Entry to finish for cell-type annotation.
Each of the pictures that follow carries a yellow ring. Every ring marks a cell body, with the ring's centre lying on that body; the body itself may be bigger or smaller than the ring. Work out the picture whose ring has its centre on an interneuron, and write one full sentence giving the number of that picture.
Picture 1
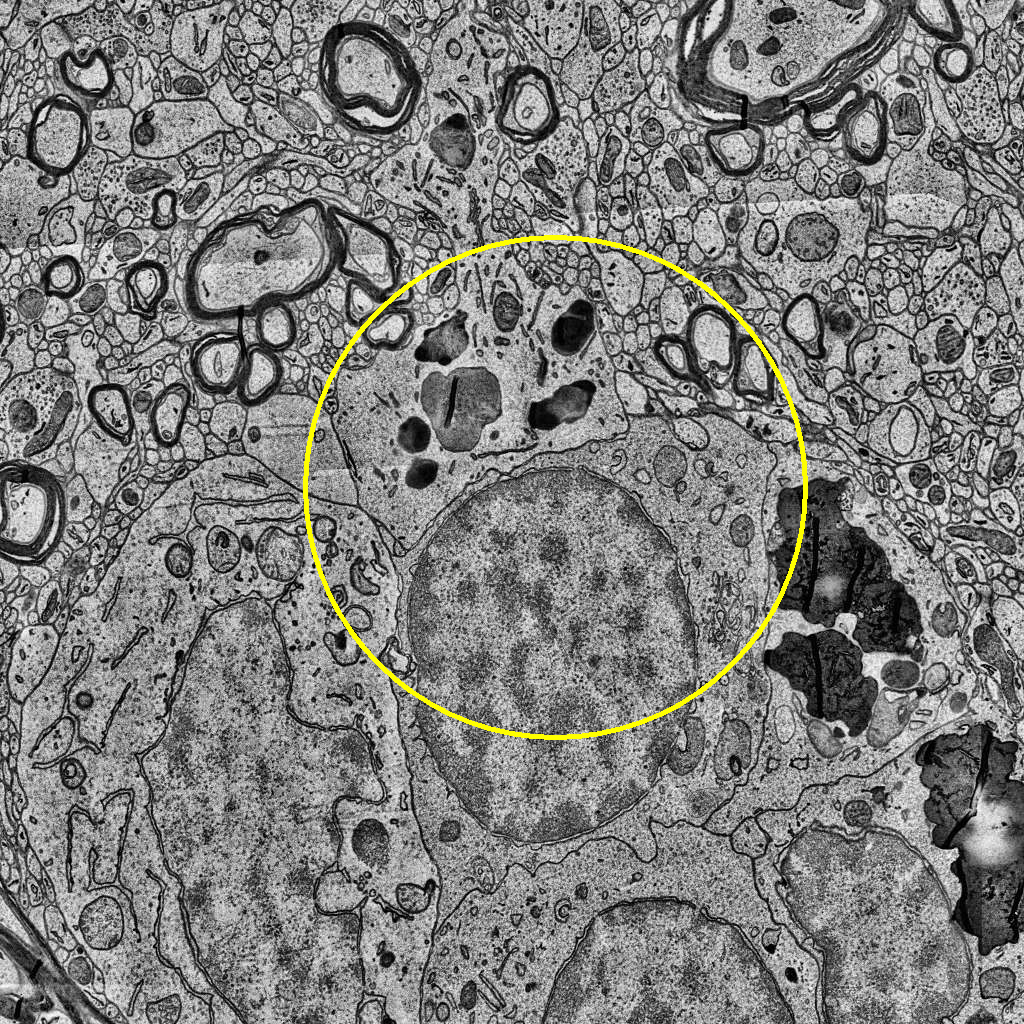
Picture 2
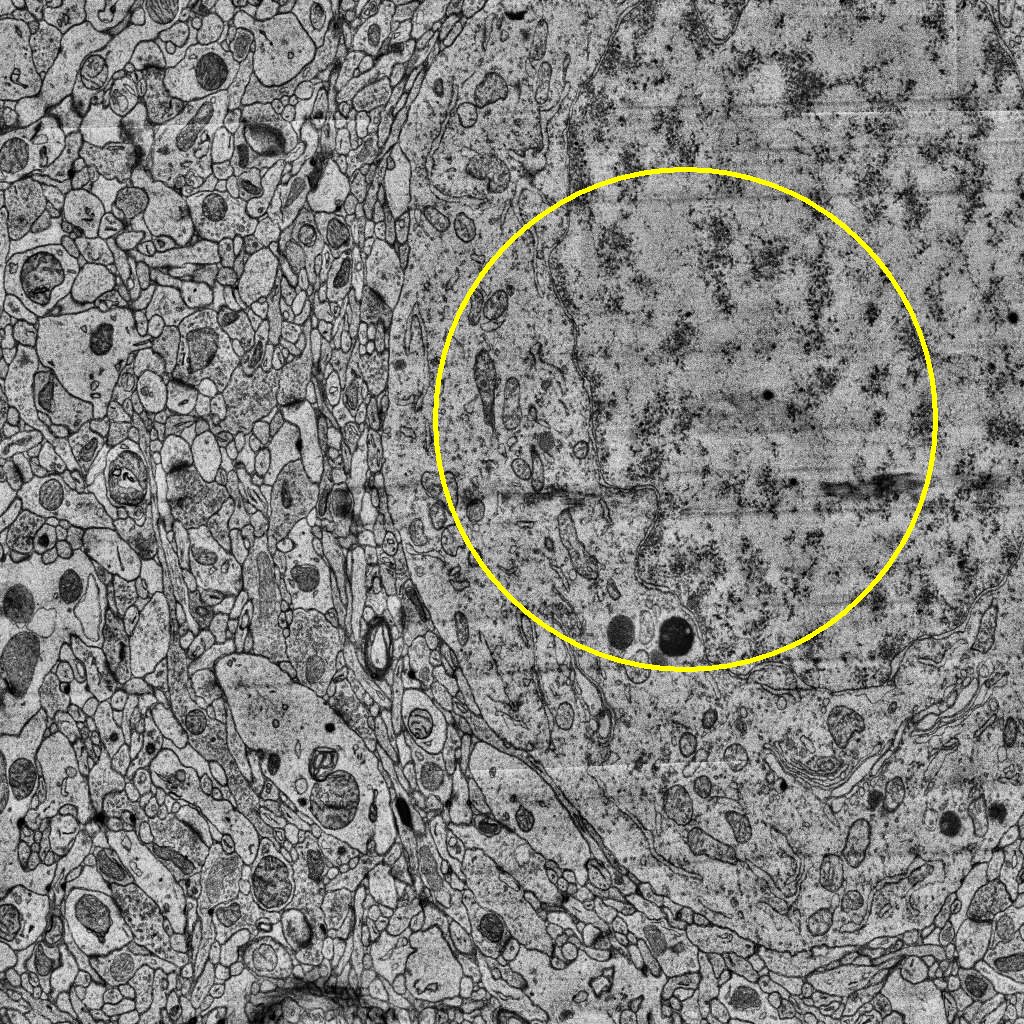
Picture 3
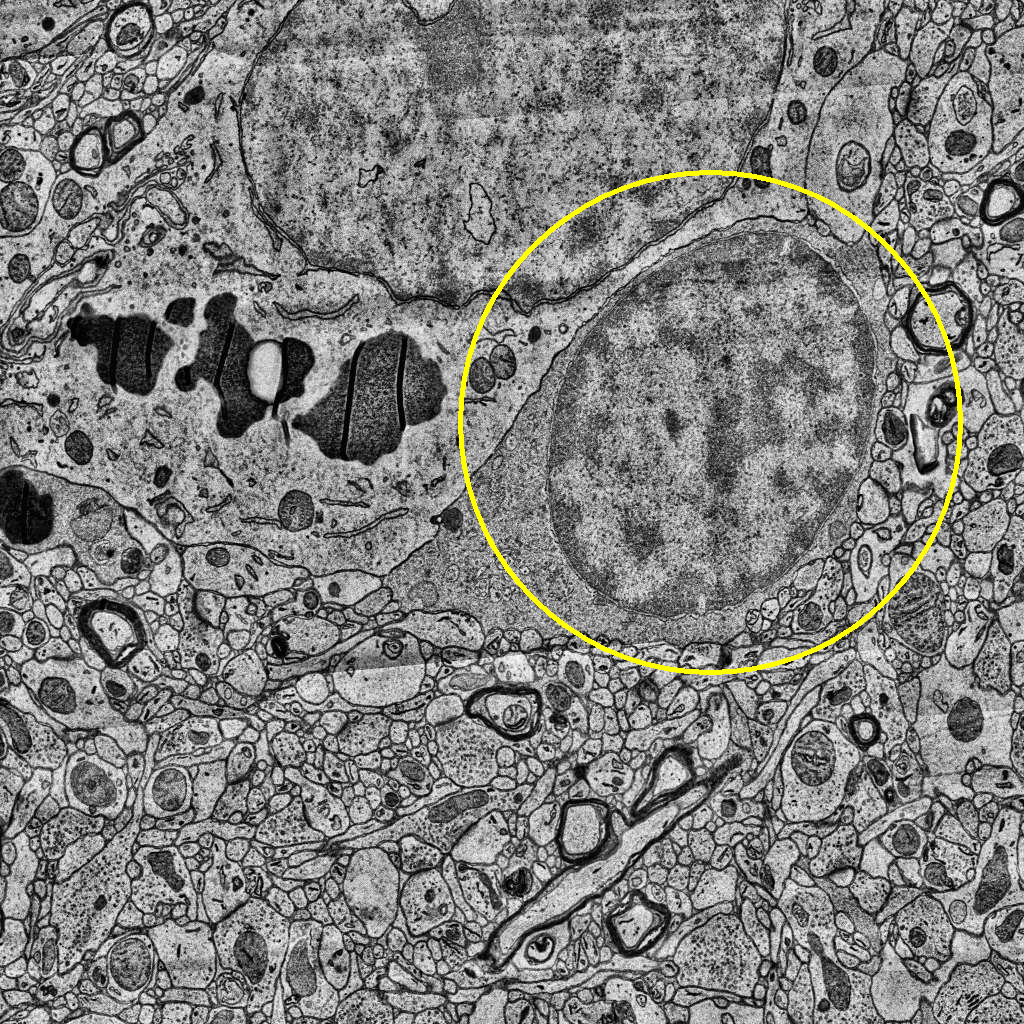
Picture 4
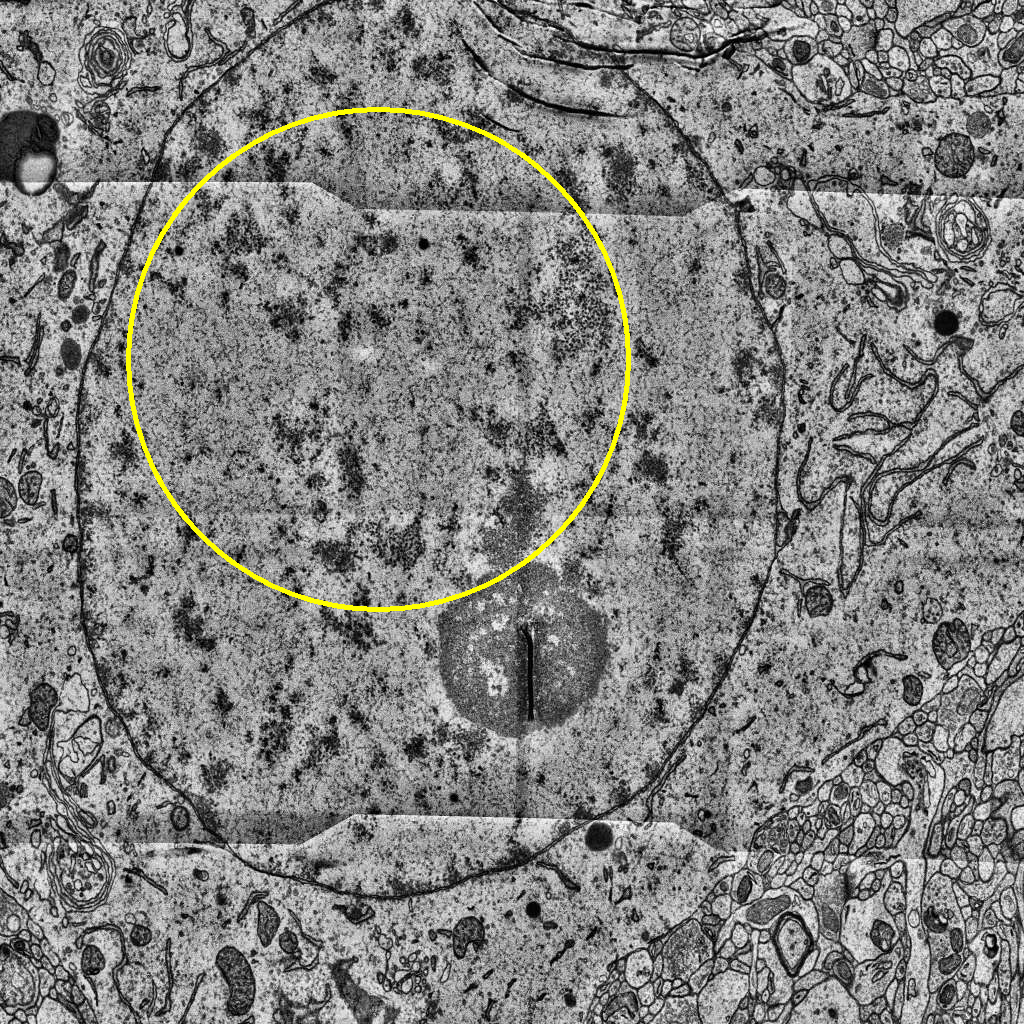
The cell lying at the ring's centre in picture 2 matches the request.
